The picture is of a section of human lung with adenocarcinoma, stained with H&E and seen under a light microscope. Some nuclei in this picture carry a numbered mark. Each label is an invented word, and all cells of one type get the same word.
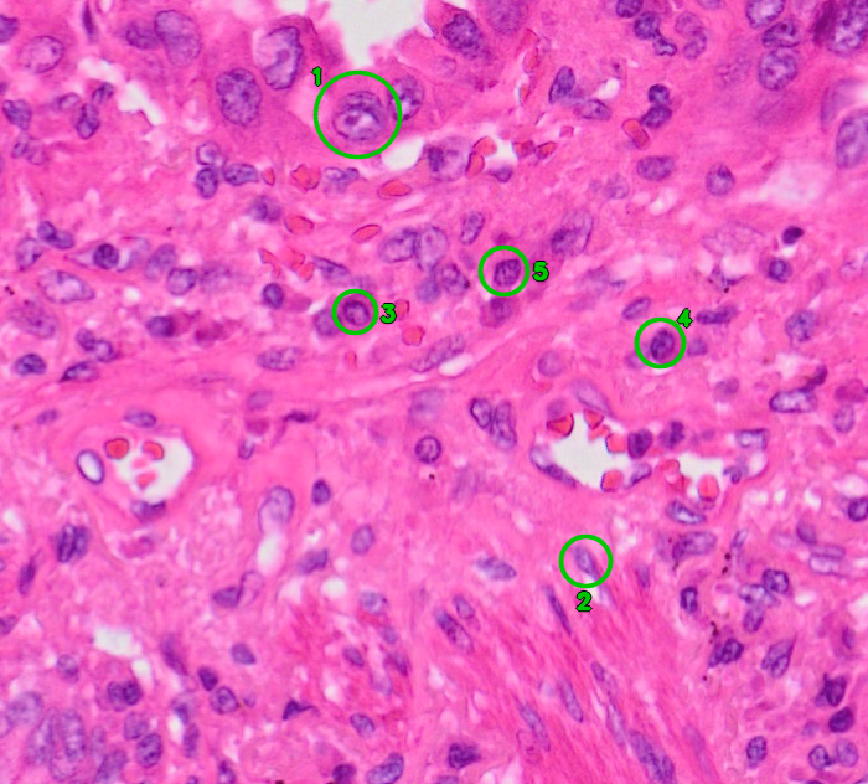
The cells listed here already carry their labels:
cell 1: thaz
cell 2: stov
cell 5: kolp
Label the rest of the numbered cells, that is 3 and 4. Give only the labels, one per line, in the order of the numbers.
kolp
kolp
